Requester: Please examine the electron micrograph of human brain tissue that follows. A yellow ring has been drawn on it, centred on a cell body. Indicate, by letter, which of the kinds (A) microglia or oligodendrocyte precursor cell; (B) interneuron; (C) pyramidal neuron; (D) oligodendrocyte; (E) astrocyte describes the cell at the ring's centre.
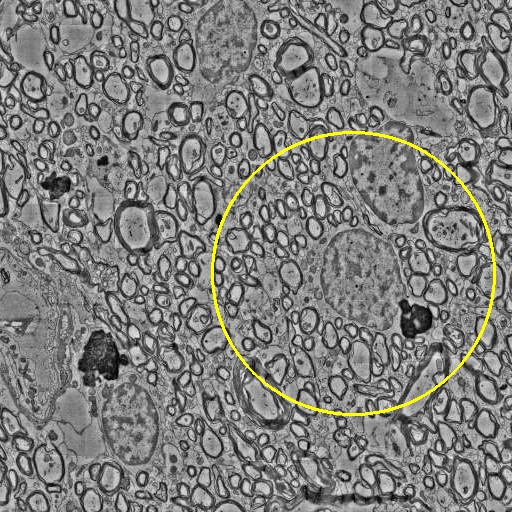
D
